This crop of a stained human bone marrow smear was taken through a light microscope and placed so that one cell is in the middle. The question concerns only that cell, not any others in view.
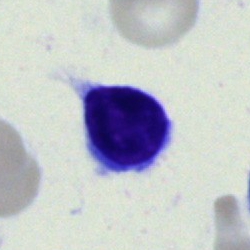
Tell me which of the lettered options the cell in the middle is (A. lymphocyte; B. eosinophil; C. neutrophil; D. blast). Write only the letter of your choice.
A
